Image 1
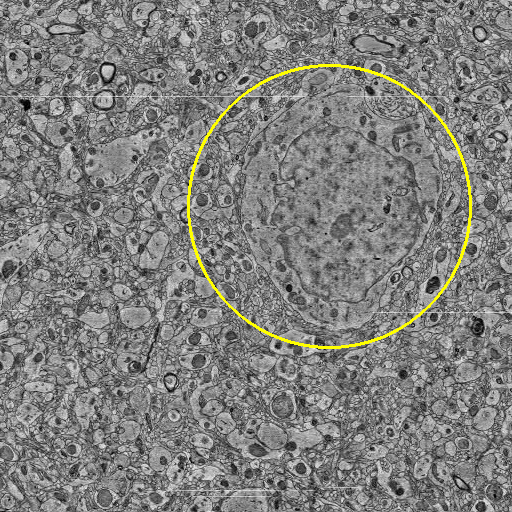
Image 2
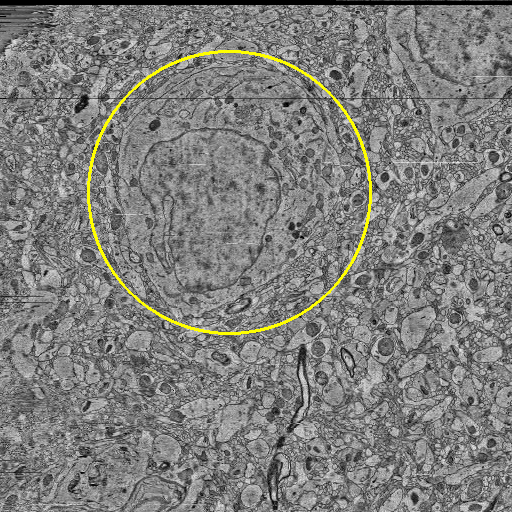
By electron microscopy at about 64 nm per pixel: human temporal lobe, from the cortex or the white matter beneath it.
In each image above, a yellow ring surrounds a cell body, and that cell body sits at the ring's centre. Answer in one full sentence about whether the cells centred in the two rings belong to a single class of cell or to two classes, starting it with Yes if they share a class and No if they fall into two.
Yes, the cells centred in the two yellow rings belong to a single class of cell.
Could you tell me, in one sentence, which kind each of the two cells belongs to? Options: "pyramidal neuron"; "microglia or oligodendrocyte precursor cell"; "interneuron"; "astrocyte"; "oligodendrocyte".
Both the first and the second picture show an interneuron in the ring.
